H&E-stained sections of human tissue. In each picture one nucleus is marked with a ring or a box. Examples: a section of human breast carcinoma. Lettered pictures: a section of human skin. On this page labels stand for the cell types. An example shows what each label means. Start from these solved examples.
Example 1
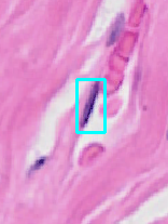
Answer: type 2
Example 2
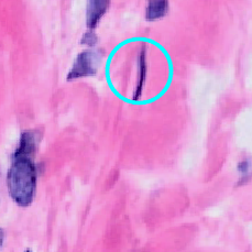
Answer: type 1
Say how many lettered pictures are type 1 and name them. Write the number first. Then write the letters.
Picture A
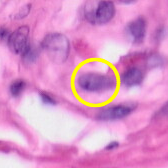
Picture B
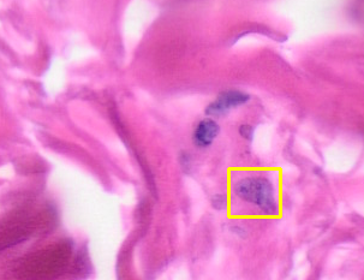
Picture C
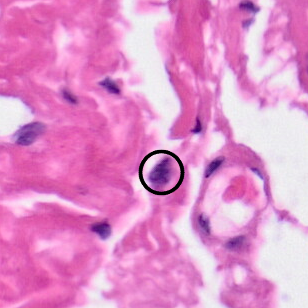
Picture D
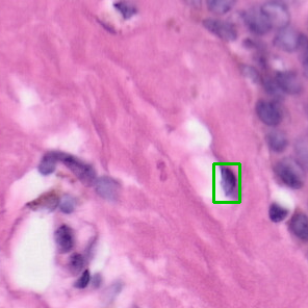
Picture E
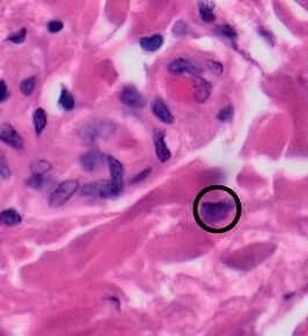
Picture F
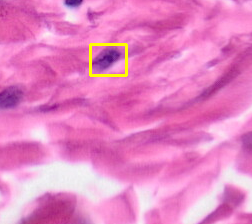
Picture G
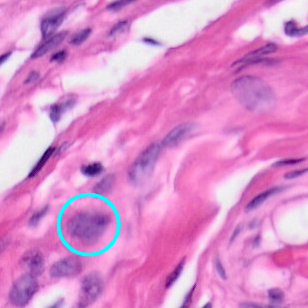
Count: 6 (B, C, D, E, F, G)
